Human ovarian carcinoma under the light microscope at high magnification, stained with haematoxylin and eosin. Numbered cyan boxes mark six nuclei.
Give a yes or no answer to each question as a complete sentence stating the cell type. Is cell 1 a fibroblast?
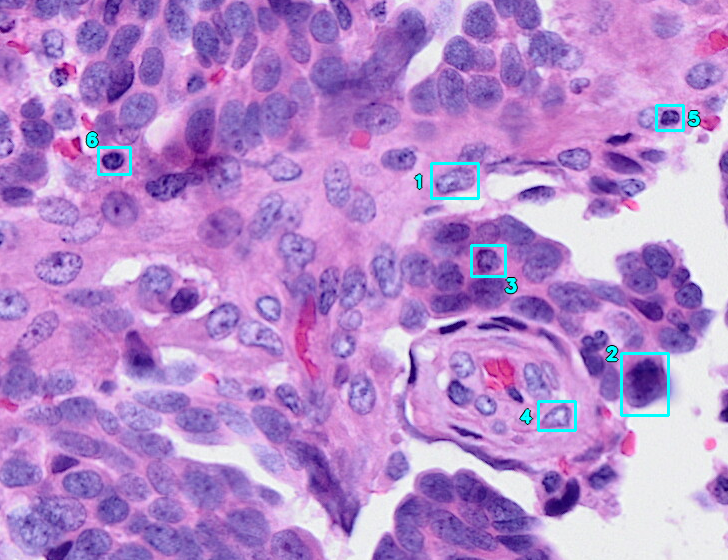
Yes, regarding number 1, the cell is a fibroblast.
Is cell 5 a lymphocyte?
Yes, the numbered cell 5 is identified as a lymphocyte.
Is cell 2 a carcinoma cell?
Yes, the cell tagged with the number 2 is a carcinoma cell.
